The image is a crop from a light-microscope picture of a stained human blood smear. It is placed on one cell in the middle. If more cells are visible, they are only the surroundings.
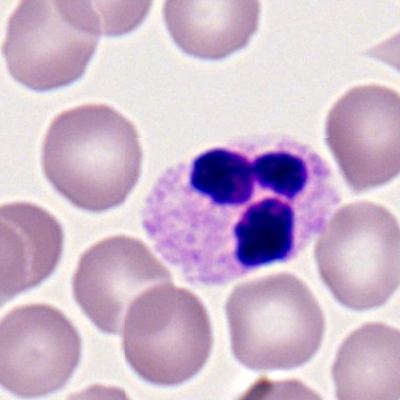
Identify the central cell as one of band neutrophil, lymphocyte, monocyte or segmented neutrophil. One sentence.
The single cell at the center of the crop is a segmented neutrophil.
